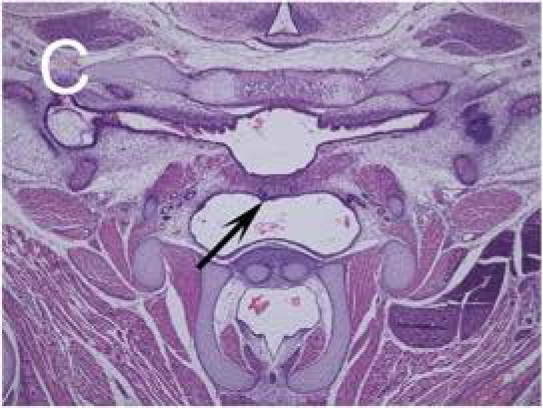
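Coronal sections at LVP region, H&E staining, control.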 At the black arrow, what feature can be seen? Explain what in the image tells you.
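Palatal shelf. The arrow touches a continuous tissue band crossing the midline. The band divides an upper and a lower cavity.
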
